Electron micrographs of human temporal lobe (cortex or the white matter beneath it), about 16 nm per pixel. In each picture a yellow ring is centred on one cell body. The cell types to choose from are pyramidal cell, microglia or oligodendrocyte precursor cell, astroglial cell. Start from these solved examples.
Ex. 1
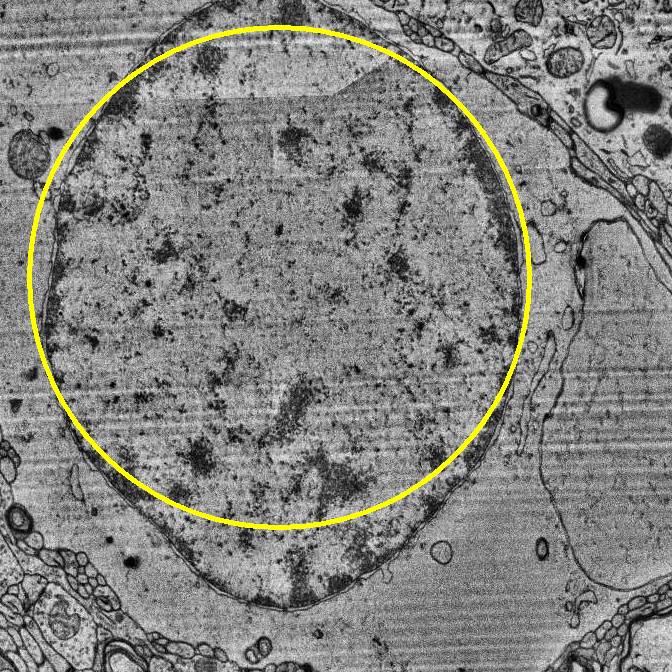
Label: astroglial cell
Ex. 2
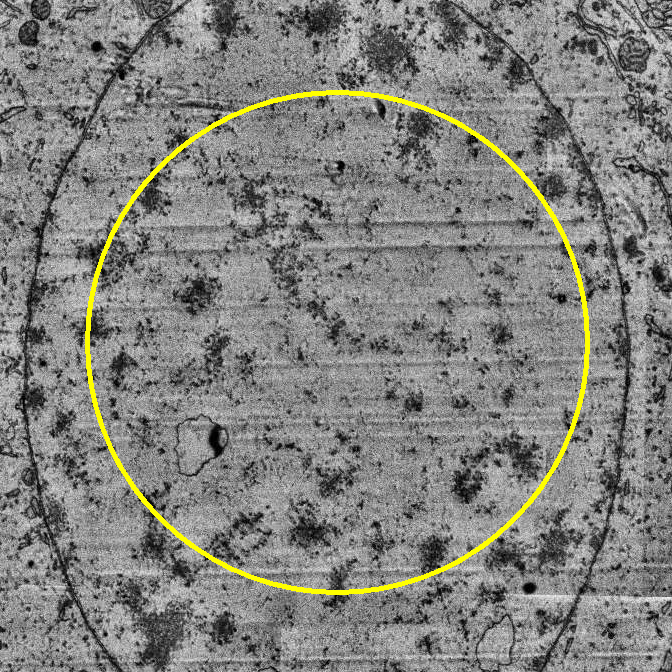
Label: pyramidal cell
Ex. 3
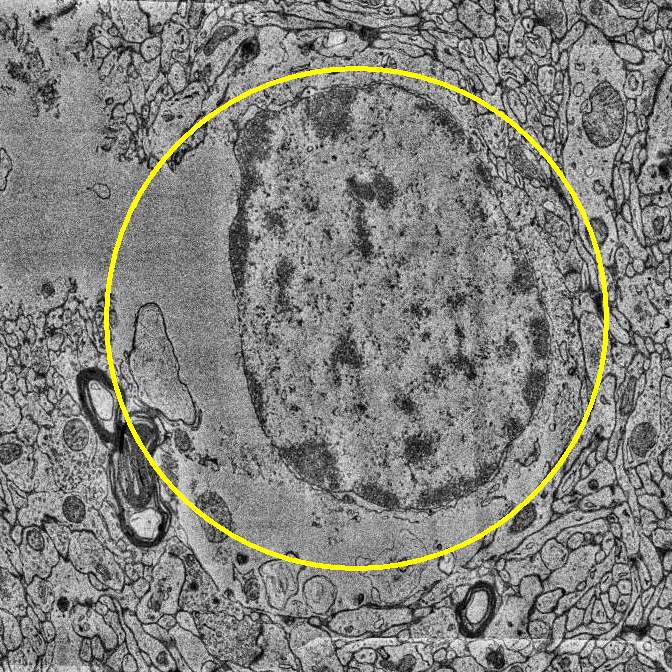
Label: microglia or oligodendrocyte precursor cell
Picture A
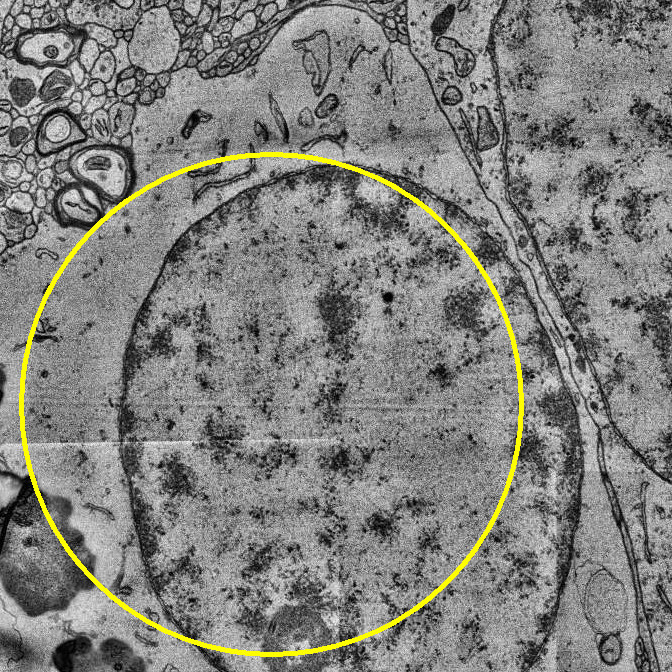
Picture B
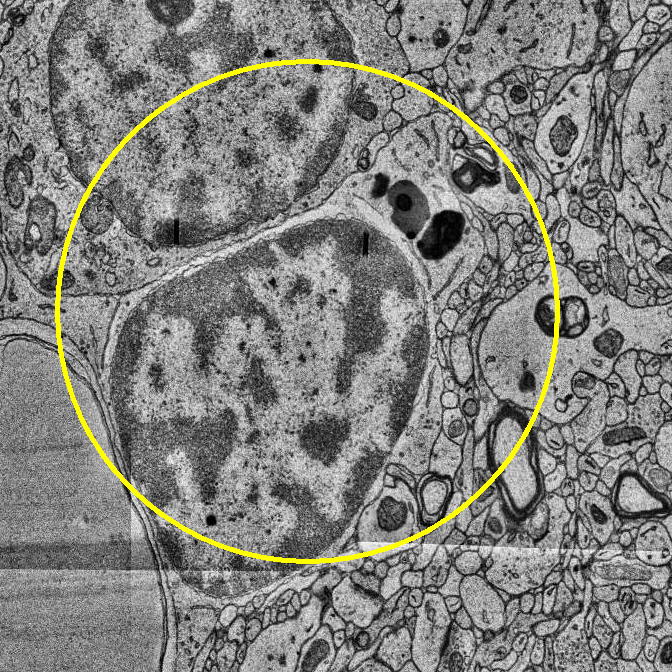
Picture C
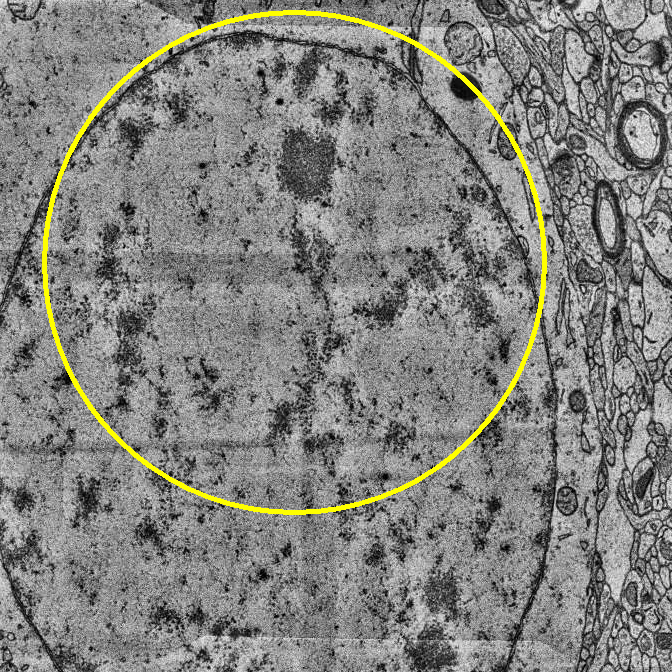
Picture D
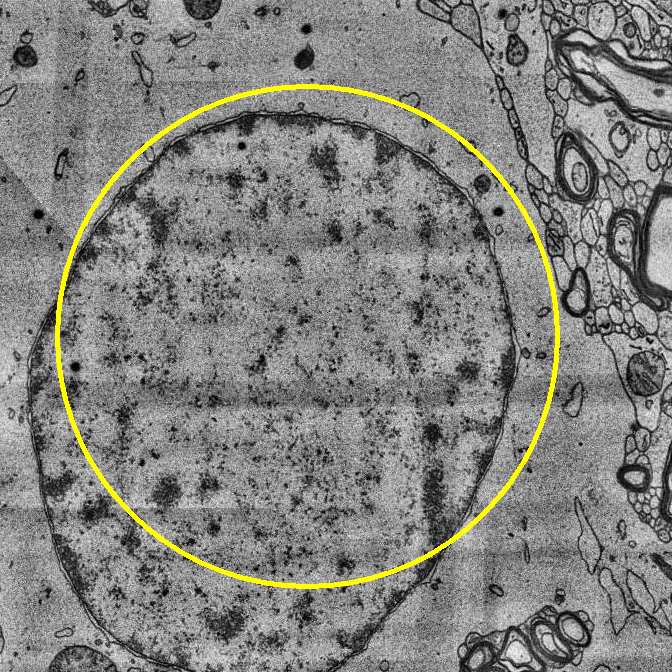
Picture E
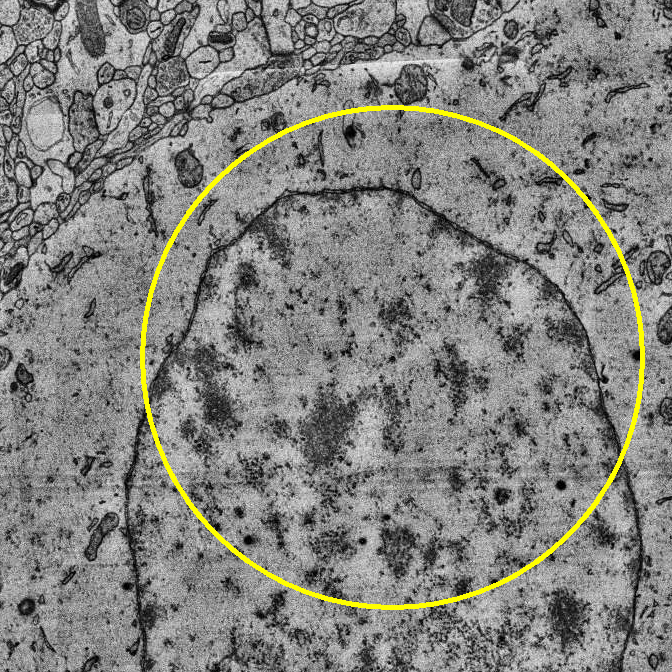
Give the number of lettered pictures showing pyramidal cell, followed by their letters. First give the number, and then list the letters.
2, namely C, E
